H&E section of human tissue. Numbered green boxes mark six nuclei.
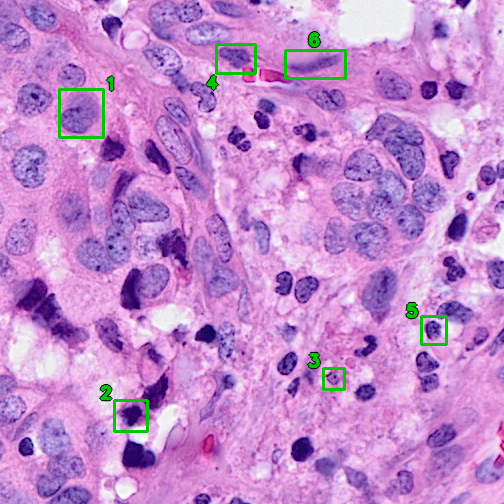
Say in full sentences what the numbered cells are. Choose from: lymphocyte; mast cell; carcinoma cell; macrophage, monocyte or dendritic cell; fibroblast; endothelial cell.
Cells 1 and 2 are carcinoma cells. Cell 3 is a macrophage, monocyte or dendritic cell. Cells 4 and 6 are endothelial cells. Cell 5 is a lymphocyte.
